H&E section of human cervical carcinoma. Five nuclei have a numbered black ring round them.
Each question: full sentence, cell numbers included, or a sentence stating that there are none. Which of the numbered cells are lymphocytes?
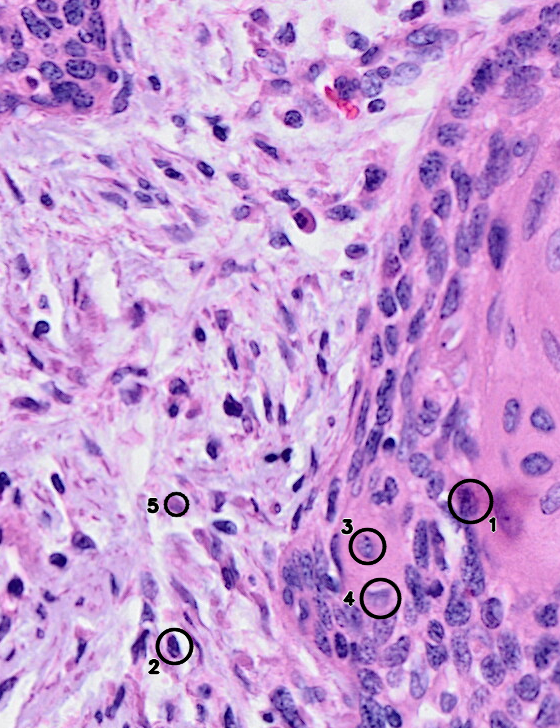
Cell 2 is a lymphocyte, and that holds for no other numbered cell.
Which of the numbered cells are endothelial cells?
Without exception, the numbered cells are not endothelial cells.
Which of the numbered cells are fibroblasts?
The sole numbered cell that is a fibroblast is cell 5.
